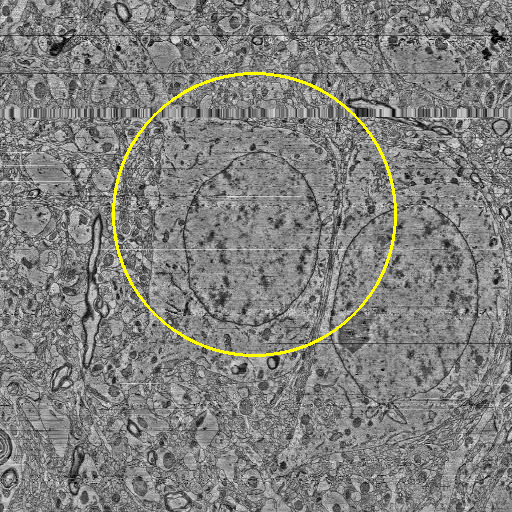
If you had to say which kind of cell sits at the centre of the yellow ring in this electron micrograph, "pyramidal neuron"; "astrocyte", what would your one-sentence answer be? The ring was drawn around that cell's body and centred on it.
The cell sitting at the centre of the ring is a pyramidal neuron.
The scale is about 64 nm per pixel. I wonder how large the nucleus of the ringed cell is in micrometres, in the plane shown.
About 12 micrometres by about 9 micrometres in this plane.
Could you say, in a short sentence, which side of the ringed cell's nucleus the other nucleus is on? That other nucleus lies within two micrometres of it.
The other nucleus lies to the right of it.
